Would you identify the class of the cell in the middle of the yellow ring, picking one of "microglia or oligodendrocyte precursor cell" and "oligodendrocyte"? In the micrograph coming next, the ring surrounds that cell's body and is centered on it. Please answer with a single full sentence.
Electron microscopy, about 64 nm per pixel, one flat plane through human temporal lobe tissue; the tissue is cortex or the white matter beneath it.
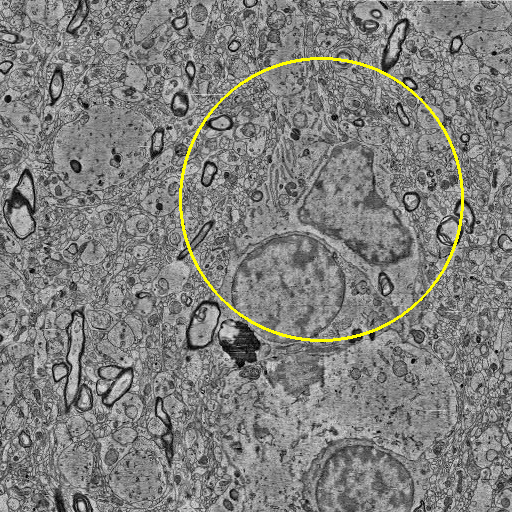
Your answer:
In the micrograph, it is a microglial cell or oligodendrocyte precursor cell whose body lies at the ring's center.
